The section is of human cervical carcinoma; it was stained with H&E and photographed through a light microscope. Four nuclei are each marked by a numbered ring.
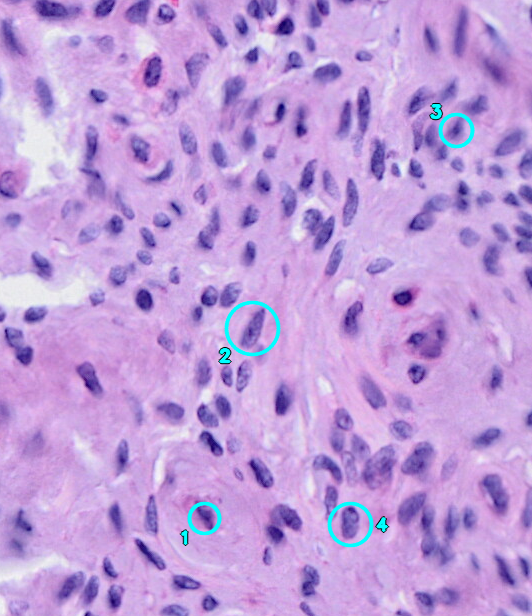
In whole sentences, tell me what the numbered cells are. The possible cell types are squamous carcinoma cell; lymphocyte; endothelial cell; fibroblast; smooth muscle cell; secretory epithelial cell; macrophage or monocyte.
Cell 1 is an endothelial cell, cell 2 is a fibroblast, cell 3 is a fibroblast and cell 4 is a fibroblast.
